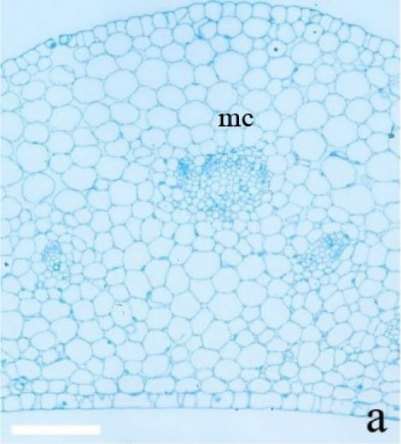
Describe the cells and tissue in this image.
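Cross-section of a leaf in which a single layer of small epidermal cells covers each surface and encloses a thick mesophyll of large, rounded, thin-walled and vacuolated parenchyma cells. A vascular bundle of small, densely packed cells lies near the middle, with smaller bundles on either side.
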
